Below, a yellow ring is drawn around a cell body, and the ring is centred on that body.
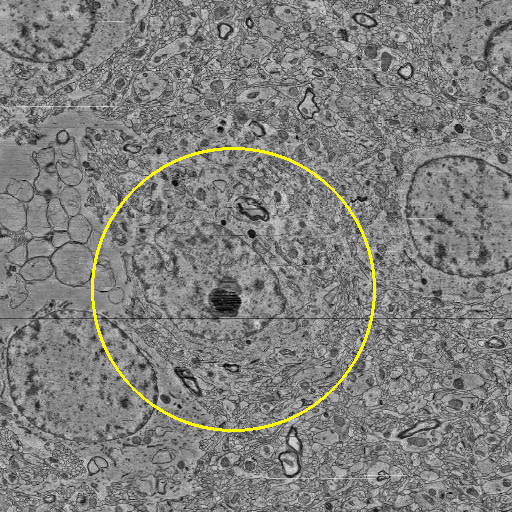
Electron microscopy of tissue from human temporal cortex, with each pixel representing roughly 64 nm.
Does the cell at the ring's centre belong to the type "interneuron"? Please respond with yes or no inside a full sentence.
Yes, the centred cell inside the ring shown in the picture is of this type.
